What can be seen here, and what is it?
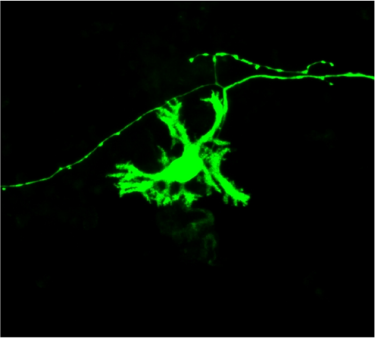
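This is a Purkinje cell in a dissociated cerebellar culture with a stunted dendritic tree. A long, thin, beaded process crosses the whole field above the cell.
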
